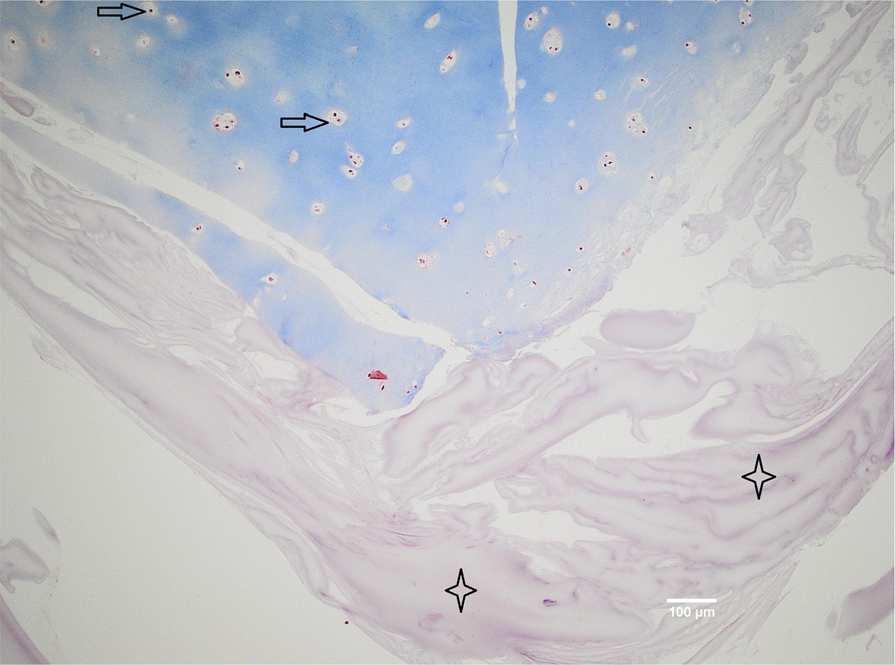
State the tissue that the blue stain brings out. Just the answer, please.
Cartilage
